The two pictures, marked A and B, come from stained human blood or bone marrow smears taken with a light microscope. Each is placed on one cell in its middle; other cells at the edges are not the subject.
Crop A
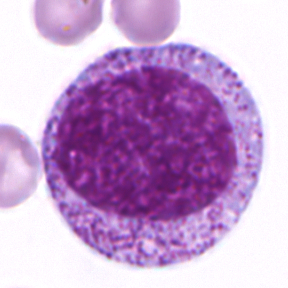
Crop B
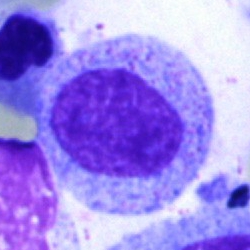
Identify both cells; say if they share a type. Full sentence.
Yes, both crops depict myelocytes at the centre.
